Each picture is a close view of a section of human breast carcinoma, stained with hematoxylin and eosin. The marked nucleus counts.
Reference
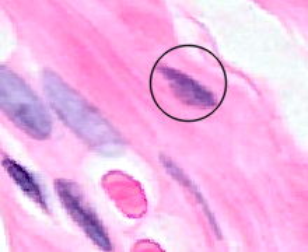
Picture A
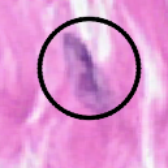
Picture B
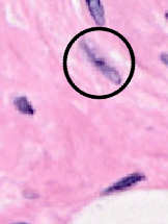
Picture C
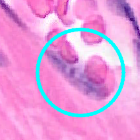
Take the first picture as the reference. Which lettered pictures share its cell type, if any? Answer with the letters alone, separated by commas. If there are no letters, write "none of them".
A, B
